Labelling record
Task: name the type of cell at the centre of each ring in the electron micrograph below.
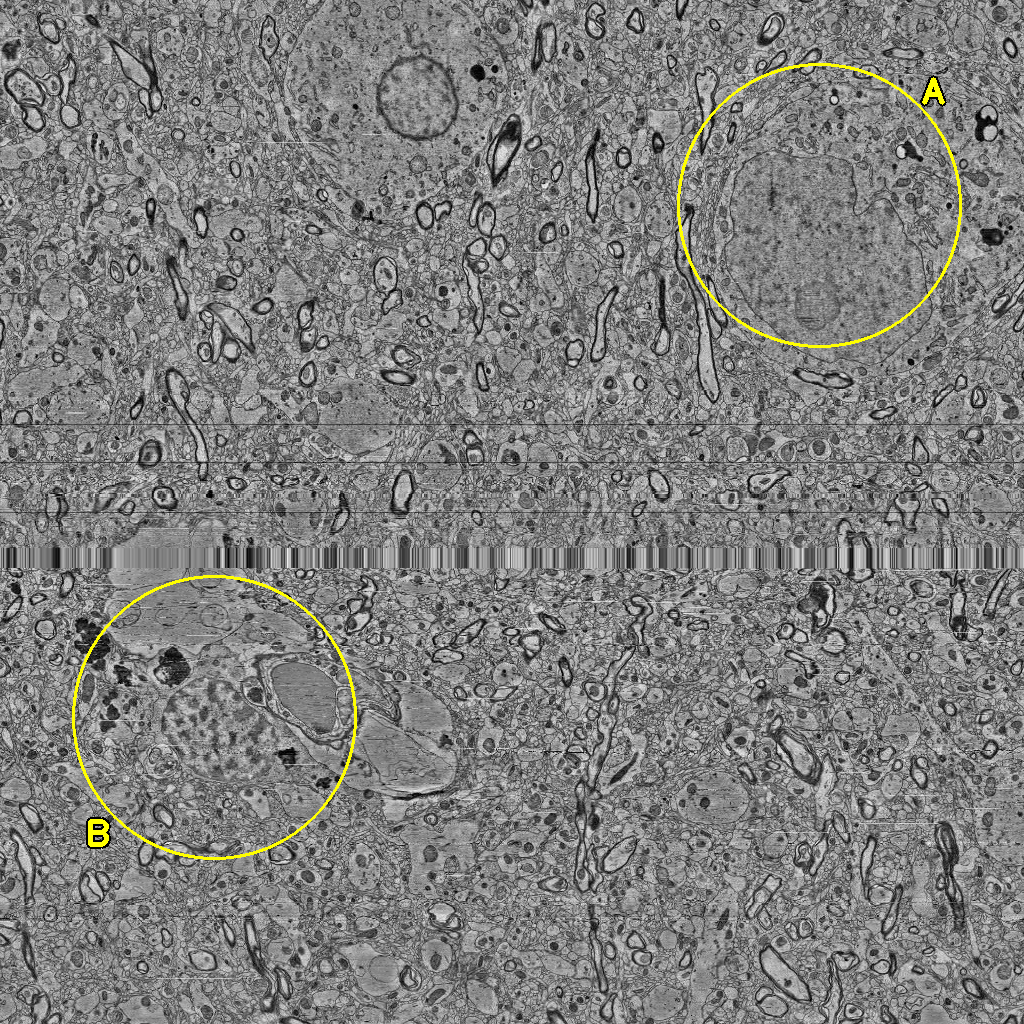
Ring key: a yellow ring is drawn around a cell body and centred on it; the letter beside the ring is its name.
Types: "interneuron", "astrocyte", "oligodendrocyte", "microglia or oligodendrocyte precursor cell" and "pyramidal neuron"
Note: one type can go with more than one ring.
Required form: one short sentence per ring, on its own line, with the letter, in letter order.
In ring A, the centred cell is a pyramidal neuron.
In ring B, the centred cell is an oligodendrocyte.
